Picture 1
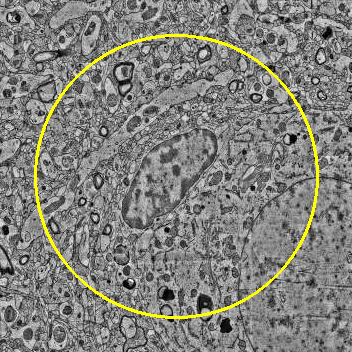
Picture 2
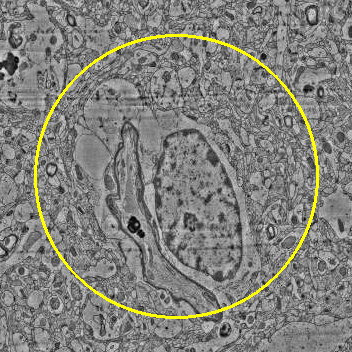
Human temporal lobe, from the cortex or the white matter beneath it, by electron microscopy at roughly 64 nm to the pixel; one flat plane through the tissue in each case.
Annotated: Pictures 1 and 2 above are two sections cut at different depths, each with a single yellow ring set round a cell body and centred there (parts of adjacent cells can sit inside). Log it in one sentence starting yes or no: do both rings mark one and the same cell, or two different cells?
No, the yellow rings mark two separate cells, not one.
